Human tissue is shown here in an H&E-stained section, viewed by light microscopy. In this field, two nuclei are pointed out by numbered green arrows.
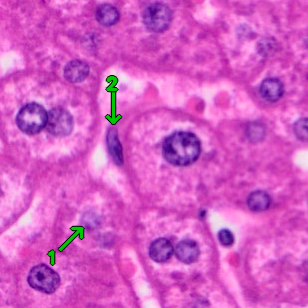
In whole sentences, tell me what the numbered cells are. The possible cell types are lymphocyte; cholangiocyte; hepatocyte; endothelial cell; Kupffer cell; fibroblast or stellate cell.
Cell 1 is a hepatocyte and cell 2 is a Kupffer cell.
